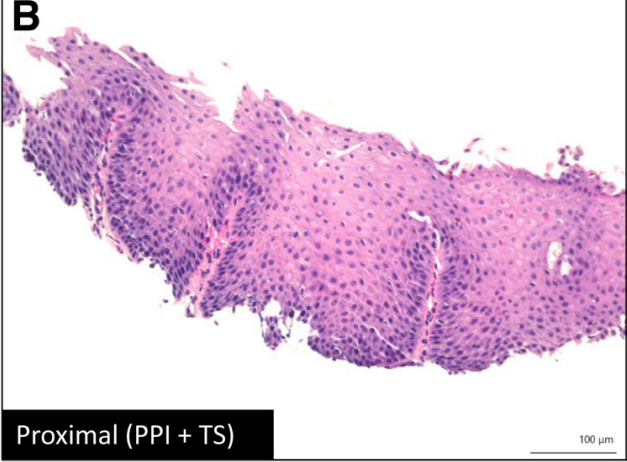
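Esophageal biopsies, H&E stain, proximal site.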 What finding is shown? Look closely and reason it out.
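Papillae reach well into the epithelium.
Answer: basal cell hyperplasia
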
